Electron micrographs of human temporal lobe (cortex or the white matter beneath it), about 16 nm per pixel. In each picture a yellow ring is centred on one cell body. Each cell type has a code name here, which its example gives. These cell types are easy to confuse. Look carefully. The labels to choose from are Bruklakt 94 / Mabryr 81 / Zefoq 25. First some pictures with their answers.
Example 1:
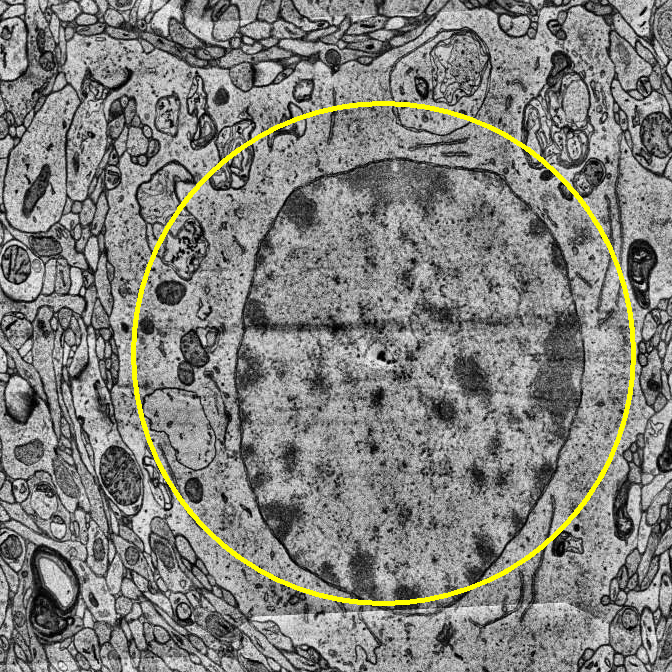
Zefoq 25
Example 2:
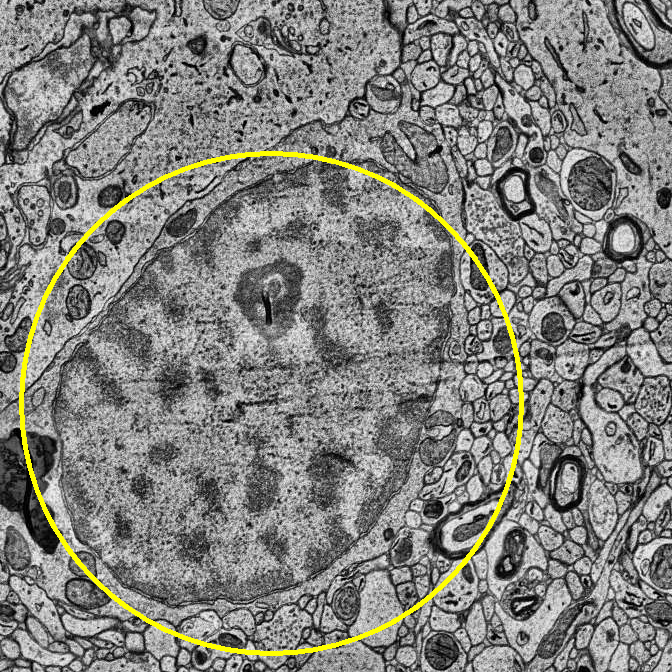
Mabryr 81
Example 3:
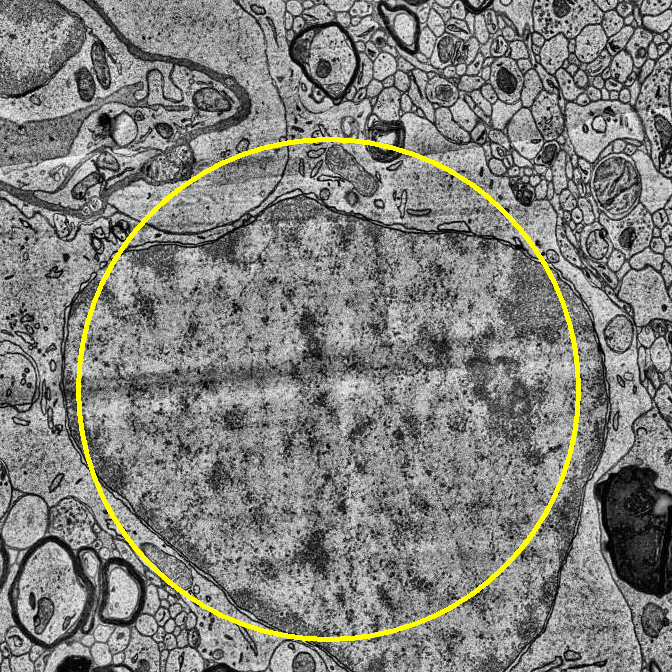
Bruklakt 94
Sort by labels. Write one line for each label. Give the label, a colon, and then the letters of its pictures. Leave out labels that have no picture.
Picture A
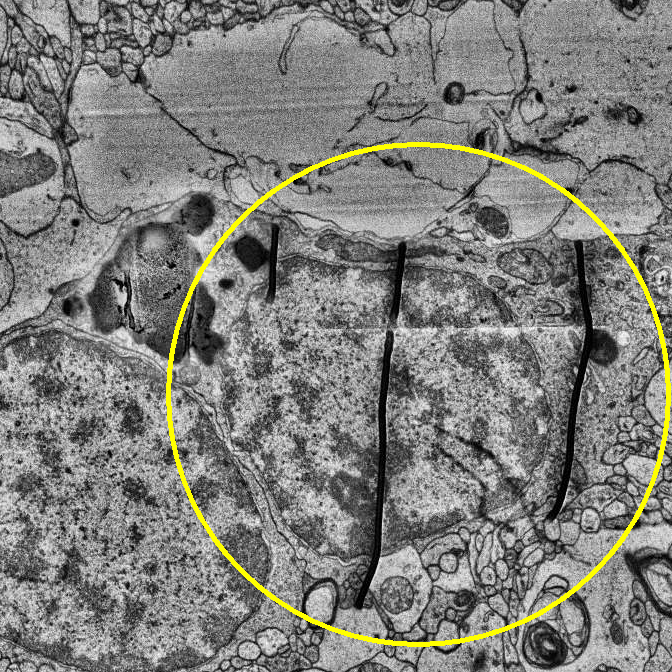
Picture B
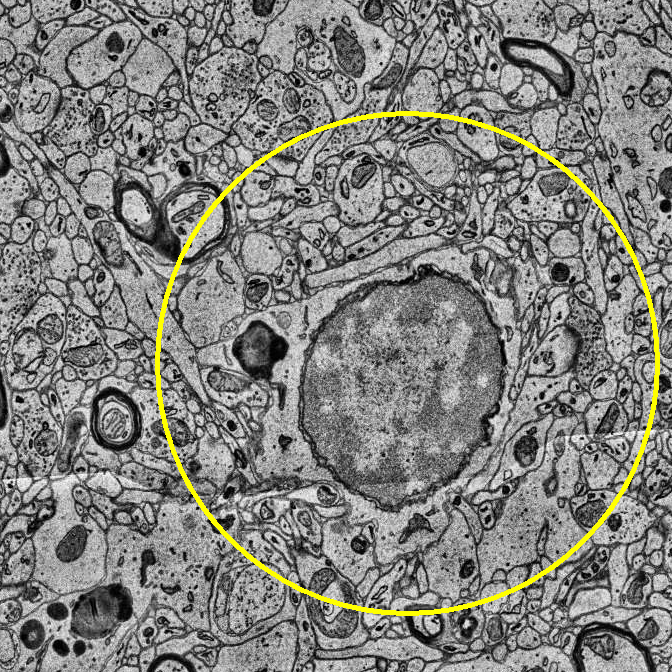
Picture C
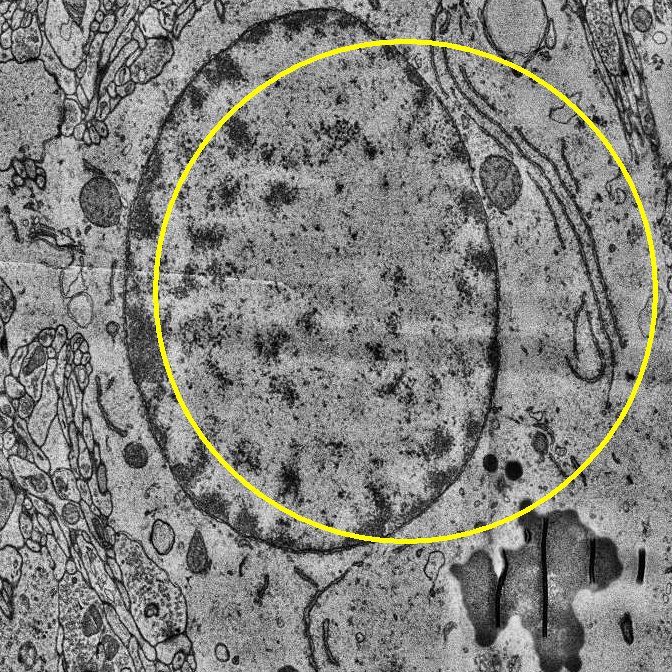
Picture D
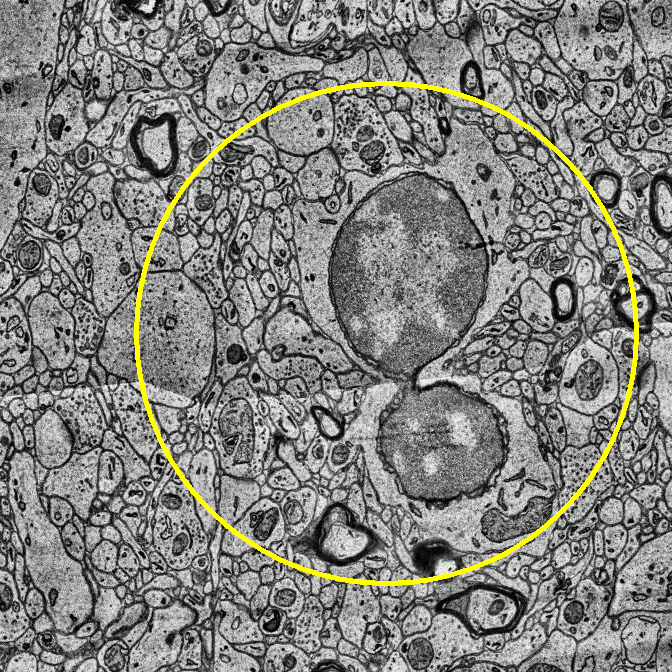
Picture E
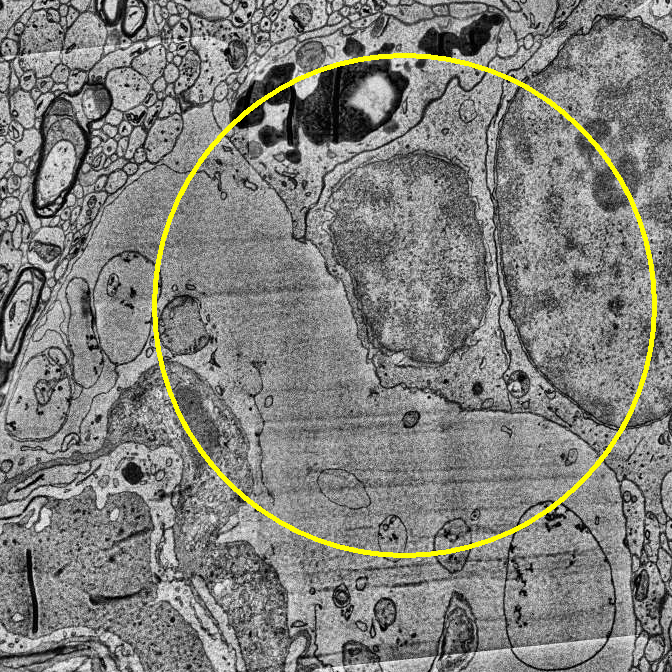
Bruklakt 94: B, D
Mabryr 81: A, E
Zefoq 25: C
